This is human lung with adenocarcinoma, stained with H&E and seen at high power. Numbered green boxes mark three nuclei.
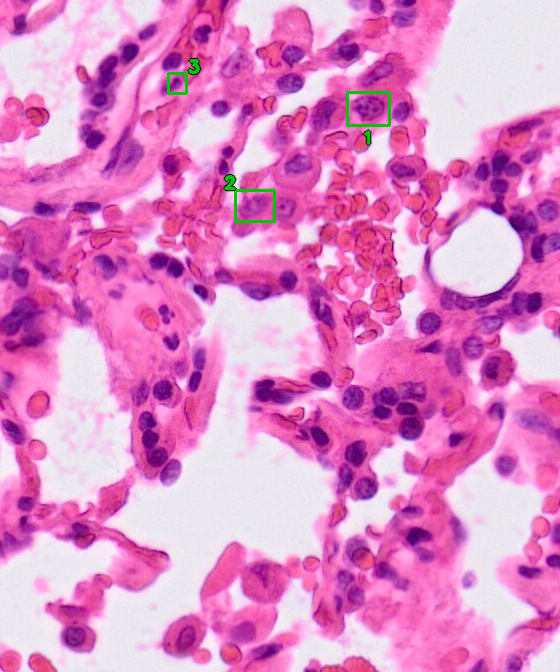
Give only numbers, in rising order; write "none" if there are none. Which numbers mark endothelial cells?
3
